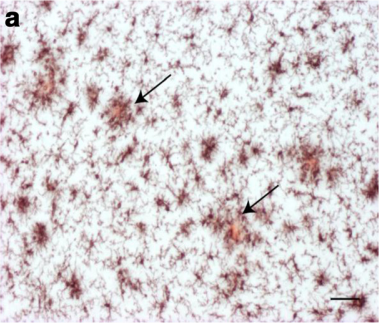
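This brain tissue shows many microglia stained dark brown, scattered through the field at fairly regular spacing. Around several orange-red amorphous deposits the microglia cluster densely, forming a dark cordon around each deposit. These clustered cells appear more intensely stained, with larger bodies and short thick processes. Between the clusters, microglia are smaller and more lightly stained, with fine, long branching processes that form a delicate network across the pale background.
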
